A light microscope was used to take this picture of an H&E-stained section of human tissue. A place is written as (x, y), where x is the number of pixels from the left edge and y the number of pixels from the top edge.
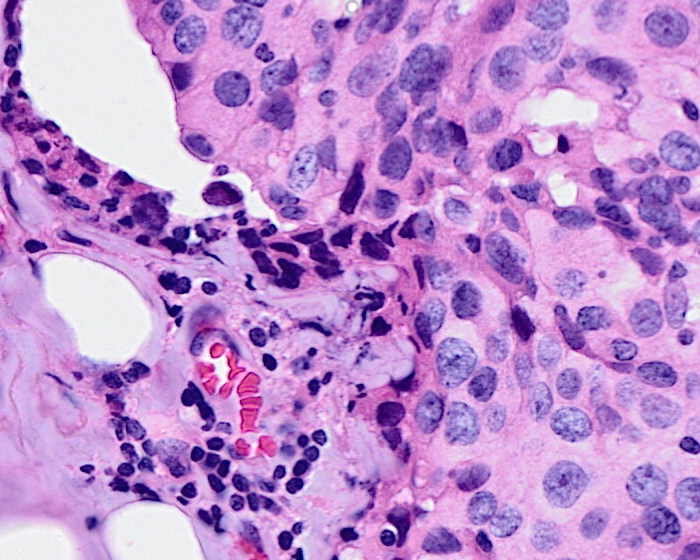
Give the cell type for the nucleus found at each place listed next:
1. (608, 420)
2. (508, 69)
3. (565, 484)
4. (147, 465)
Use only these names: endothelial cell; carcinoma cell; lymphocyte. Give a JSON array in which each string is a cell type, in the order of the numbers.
["carcinoma cell", "carcinoma cell", "carcinoma cell", "lymphocyte"]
